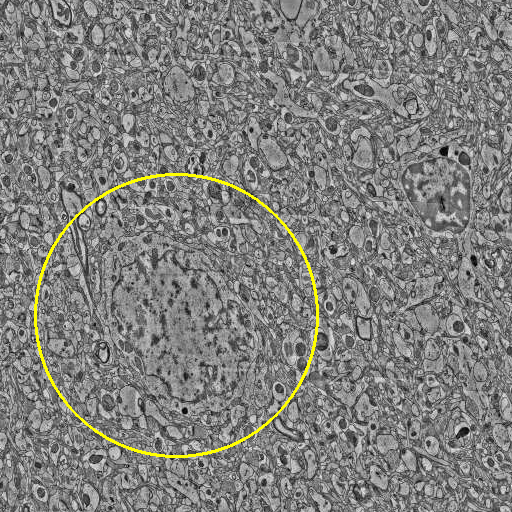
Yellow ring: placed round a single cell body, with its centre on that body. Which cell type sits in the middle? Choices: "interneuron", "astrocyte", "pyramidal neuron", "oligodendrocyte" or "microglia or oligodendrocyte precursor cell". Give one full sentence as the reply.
It is an interneuron whose cell body sits at the centre of the yellow ring.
